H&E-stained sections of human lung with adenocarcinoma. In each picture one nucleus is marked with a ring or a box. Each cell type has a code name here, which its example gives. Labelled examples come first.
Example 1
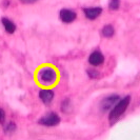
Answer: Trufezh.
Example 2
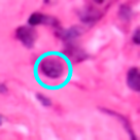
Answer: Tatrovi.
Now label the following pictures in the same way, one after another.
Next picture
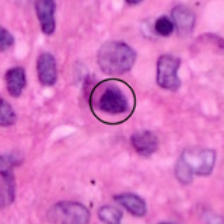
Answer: Tatrovi.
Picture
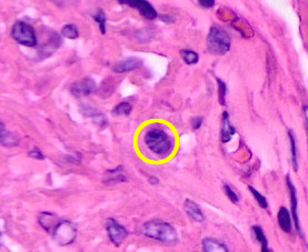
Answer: Tatrovi.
